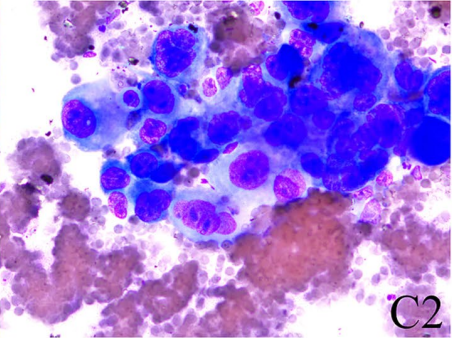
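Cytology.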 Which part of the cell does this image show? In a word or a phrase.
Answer: Multiple nucleoli.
